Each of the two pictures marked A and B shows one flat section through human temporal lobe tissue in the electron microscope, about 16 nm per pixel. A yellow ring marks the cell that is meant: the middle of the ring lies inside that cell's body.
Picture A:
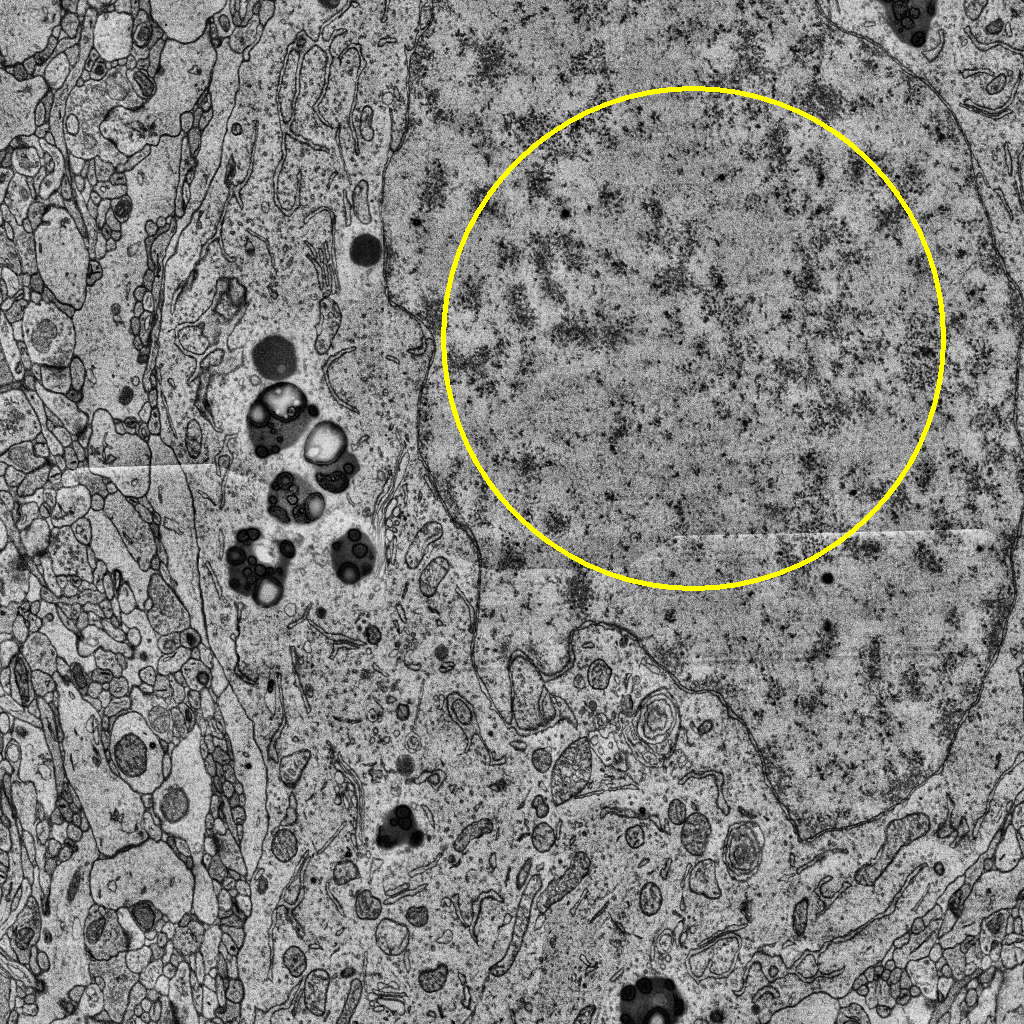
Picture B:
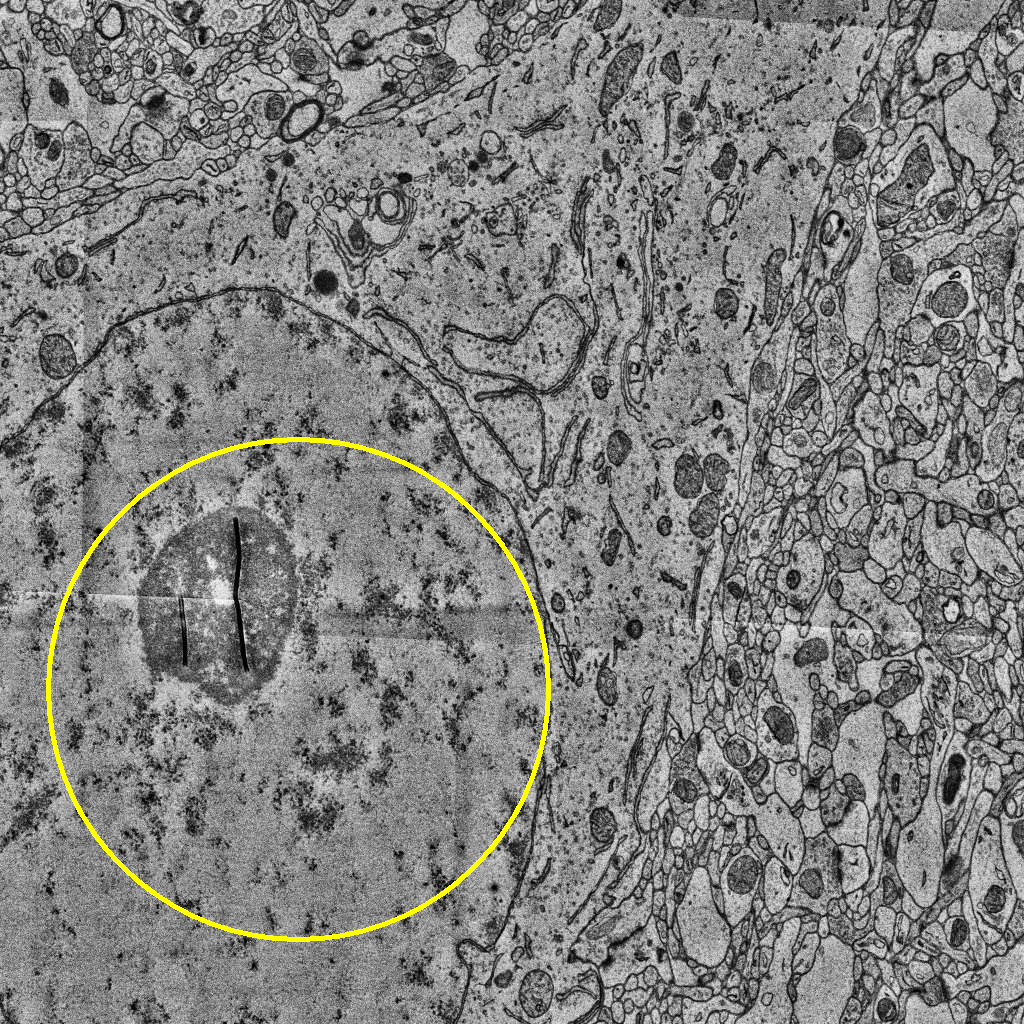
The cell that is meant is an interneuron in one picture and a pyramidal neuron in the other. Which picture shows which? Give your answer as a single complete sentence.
In picture A the cell is an interneuron; in picture B, a pyramidal neuron.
